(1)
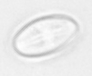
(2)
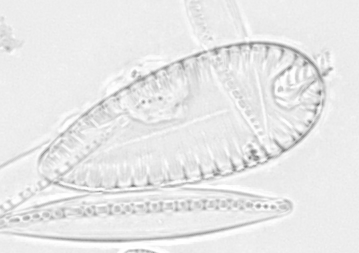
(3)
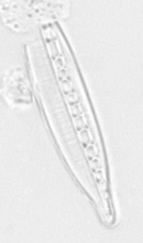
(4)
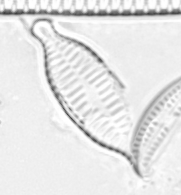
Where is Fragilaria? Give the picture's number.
4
